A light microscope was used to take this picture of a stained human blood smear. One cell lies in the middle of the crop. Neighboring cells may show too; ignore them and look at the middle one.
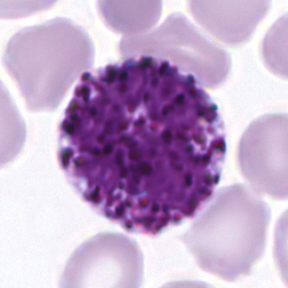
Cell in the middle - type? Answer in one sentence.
The cell the crop is centered on is a basophil.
